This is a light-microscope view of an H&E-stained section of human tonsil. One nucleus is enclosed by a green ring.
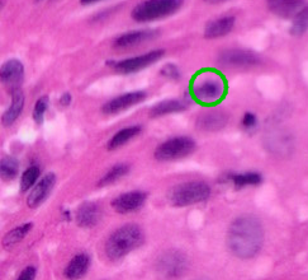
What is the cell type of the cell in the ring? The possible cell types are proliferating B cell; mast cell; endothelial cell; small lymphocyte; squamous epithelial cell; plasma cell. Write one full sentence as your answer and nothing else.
The identity of the cell in the ring: it is a squamous epithelial cell.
